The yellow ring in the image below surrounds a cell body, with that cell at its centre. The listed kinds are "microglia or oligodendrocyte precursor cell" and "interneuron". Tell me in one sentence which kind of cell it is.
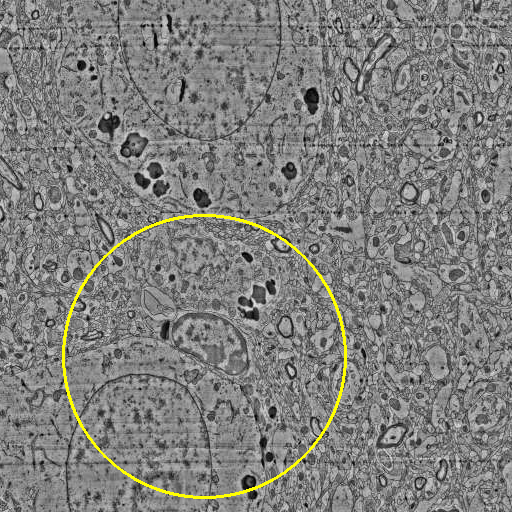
The centre of the ring holds a microglial cell or oligodendrocyte precursor cell.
